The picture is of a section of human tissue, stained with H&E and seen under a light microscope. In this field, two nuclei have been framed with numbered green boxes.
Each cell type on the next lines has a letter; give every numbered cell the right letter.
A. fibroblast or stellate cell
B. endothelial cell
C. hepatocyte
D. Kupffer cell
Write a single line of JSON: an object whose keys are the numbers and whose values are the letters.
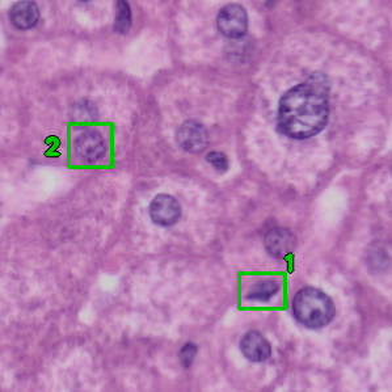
{"1": "B", "2": "C"}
